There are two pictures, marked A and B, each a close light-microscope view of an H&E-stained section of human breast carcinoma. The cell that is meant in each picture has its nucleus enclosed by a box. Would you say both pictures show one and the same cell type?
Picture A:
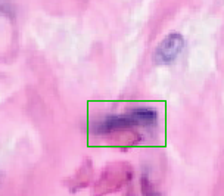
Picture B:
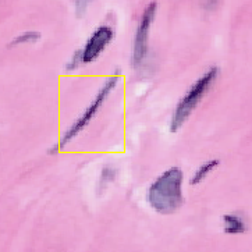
no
